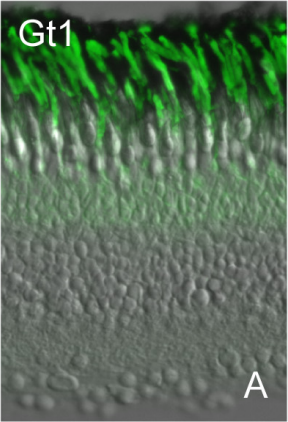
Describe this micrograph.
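This is a section through the layered light-sensitive tissue of the eye, and the green label picks out the outer segments of rod photoreceptor cells. At the top, long thin green outer segments stand closely packed and roughly parallel, reaching toward the outer edge. Just beneath them lies a row of shorter, pale, unlabeled segments belonging to the cones. Further down, the relief image shows a thick band of tightly packed round nuclei, then a finely textured, fibrous layer with few nuclei, and at the bottom another row of rounded nuclei.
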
